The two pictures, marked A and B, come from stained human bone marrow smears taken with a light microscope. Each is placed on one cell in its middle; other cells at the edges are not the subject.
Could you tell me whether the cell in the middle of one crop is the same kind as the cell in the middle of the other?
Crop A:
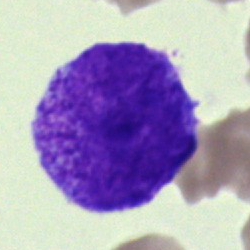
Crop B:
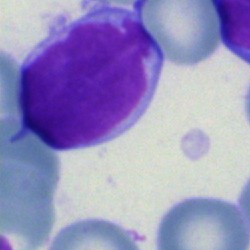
no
